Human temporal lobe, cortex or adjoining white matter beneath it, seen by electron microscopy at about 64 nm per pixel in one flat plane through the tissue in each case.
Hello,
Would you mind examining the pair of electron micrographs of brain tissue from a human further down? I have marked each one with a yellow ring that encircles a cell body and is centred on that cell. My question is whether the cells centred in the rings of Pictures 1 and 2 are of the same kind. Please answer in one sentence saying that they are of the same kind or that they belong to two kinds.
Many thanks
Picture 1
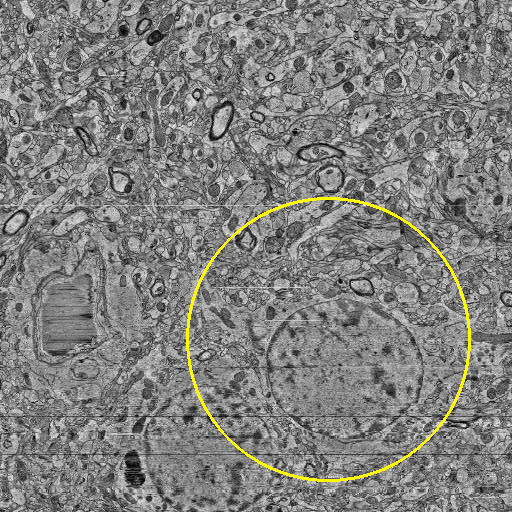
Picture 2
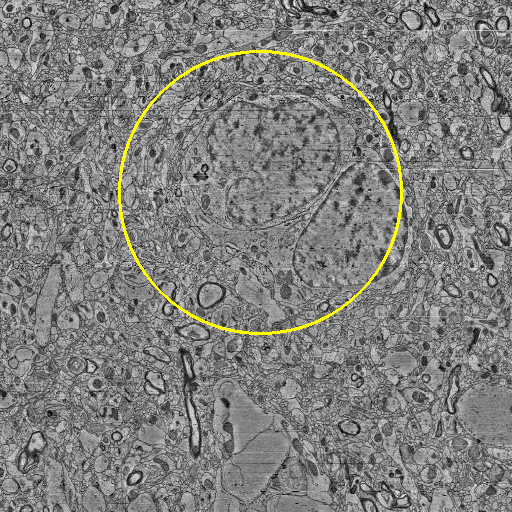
In Pictures 1 and 2, the cells at the heart of the rings belong to two kinds.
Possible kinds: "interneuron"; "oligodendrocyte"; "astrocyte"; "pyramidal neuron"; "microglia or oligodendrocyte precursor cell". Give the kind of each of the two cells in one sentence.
The cell in the second picture is an interneuron, and that in the first is an astrocyte.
